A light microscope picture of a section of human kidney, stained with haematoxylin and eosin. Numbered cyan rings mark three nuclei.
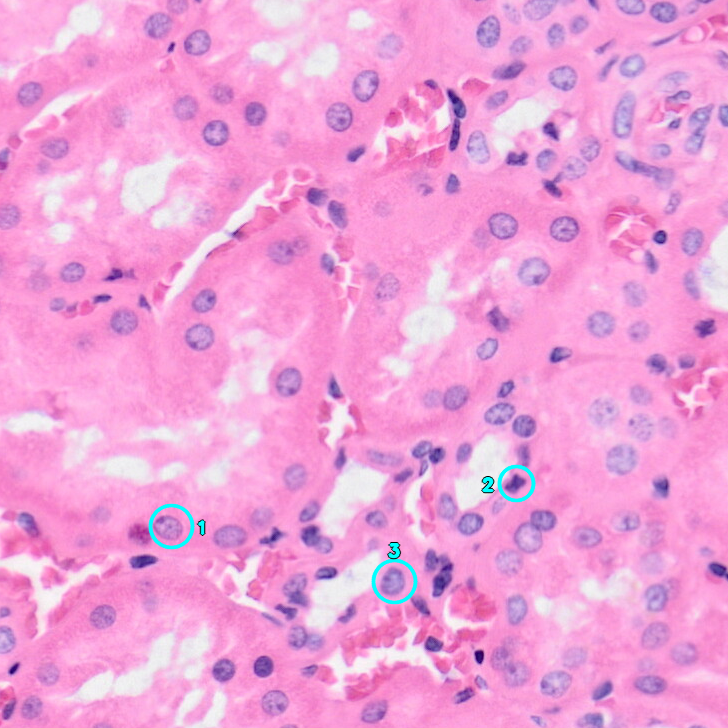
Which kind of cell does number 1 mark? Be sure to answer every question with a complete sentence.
The mark numbered 1 indicates the nucleus of a proximal tubule cell.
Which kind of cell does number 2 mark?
The nucleus with number 2 is that of a collecting duct cell.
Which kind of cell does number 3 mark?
Within this field of view, the cell labelled 3 is a collecting duct cell.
